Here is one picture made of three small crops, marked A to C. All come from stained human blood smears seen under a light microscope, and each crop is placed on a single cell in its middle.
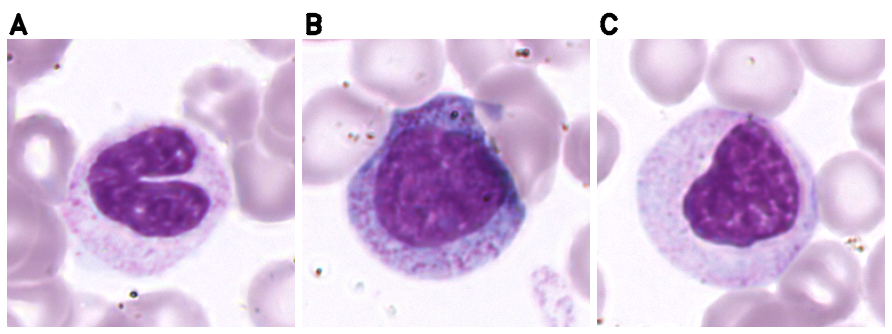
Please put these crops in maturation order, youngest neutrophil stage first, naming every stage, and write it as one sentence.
In order of increasing maturity, the crops run crop B (a promyelocyte), crop C (a metamyelocyte) and crop A (a band neutrophil).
